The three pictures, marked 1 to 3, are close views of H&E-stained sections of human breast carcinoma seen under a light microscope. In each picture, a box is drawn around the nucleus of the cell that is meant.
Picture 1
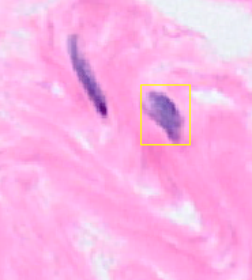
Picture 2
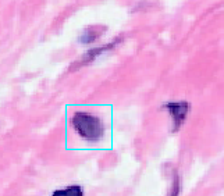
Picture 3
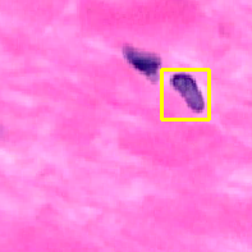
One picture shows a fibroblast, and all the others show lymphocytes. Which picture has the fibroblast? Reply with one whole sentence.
Picture 1 shows the fibroblast.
